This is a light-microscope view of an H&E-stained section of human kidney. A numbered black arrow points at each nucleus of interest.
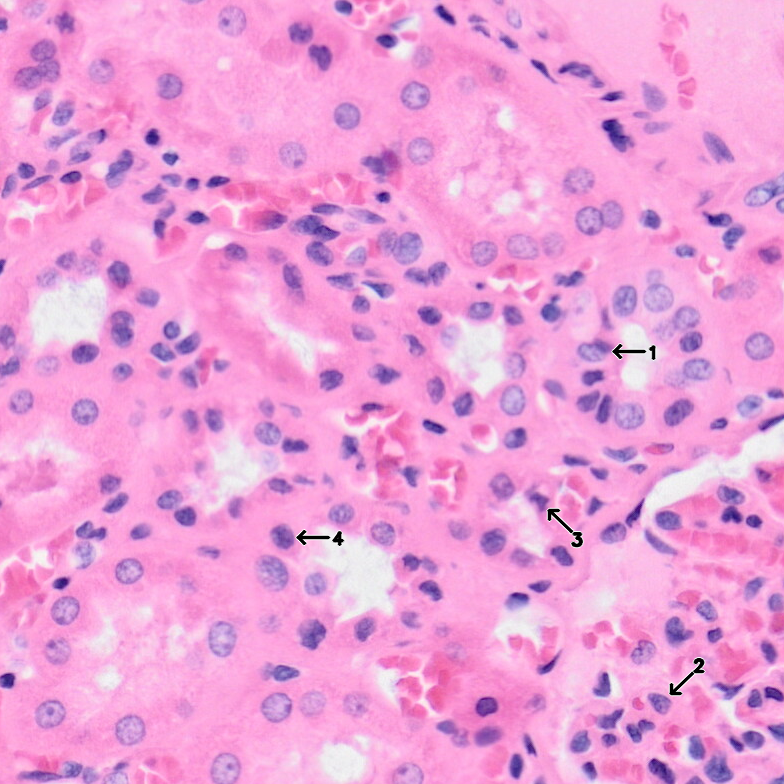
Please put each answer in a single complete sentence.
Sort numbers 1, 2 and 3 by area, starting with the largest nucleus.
The nuclei rank 1, 2, 3, from largest to smallest.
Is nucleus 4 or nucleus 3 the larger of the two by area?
Nucleus 4 is larger, with an area about 2 times that of nucleus 3.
